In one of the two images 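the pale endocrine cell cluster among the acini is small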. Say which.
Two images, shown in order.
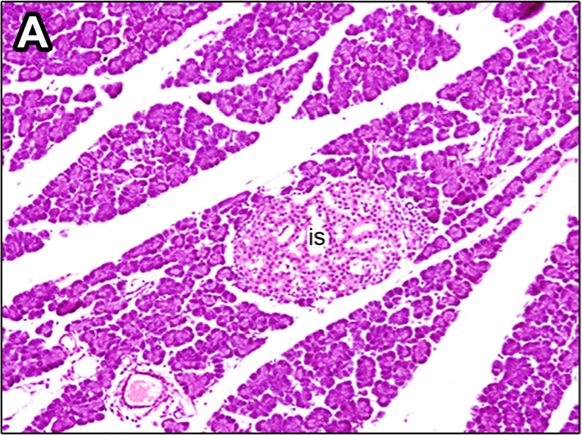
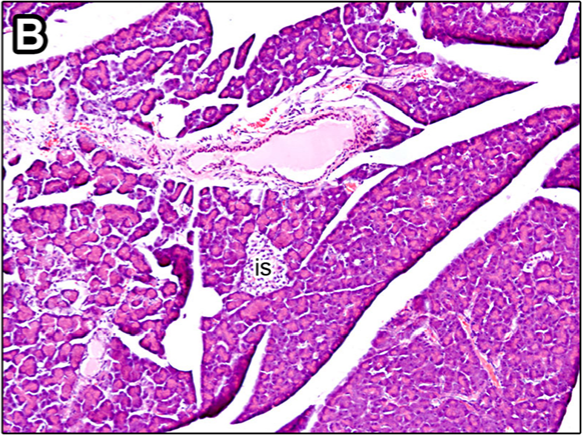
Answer: the second image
